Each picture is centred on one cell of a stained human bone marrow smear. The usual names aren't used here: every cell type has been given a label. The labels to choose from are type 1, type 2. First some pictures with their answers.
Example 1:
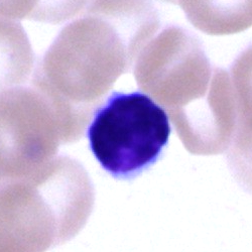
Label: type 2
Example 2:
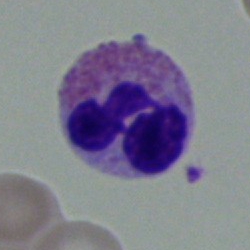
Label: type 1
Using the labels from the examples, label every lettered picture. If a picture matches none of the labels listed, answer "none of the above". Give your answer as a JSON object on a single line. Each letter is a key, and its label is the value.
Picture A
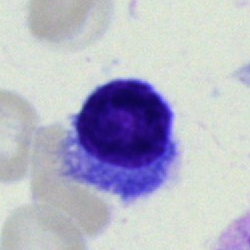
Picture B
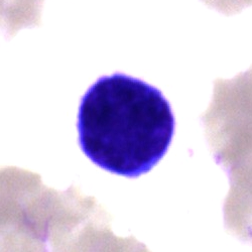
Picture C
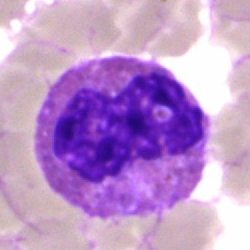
{"A": "type 2", "B": "type 2", "C": "type 1"}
